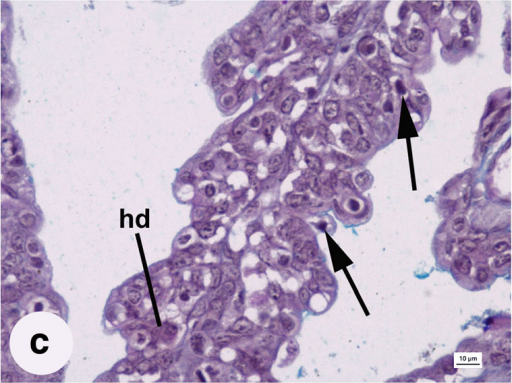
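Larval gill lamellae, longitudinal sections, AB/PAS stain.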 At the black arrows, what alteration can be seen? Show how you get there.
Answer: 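The marked nuclei are small, shrunken and densely dark. Surrounding nuclei are larger and paler with visible nucleoli.
Answer: pyknotic nucleus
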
